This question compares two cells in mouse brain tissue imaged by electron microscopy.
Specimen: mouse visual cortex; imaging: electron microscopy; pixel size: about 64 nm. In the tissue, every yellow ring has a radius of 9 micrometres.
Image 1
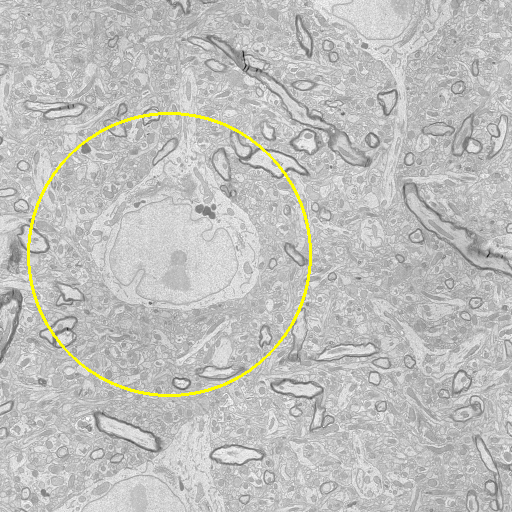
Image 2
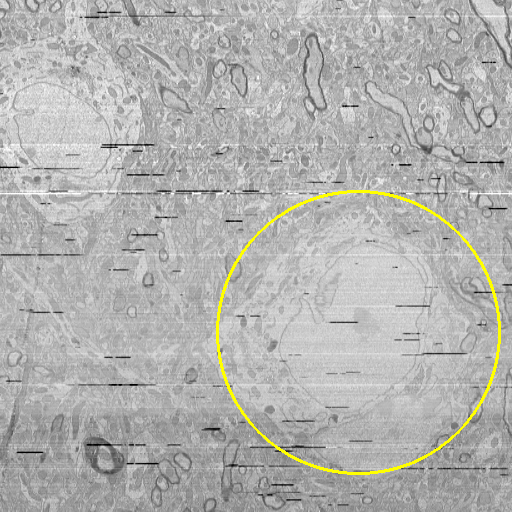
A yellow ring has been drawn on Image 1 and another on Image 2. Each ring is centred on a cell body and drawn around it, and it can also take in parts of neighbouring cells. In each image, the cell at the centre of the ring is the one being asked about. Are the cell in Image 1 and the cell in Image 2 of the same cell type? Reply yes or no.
yes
